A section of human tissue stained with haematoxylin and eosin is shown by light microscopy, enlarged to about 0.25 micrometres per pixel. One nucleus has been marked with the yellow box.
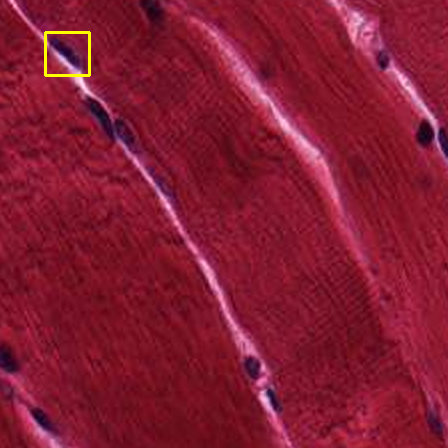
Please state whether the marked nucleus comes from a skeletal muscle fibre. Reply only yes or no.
yes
